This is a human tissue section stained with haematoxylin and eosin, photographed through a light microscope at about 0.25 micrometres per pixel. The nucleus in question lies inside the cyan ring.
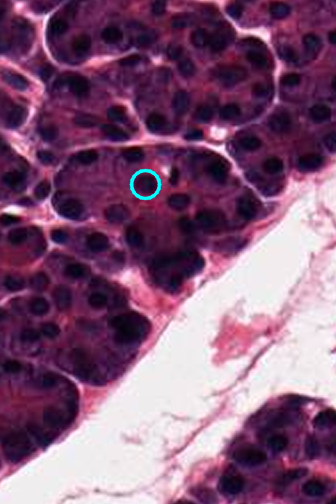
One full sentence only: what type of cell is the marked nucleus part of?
Belonging to a pancreatic acinar cell is the marked nucleus.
